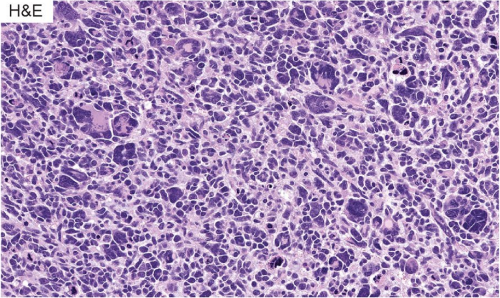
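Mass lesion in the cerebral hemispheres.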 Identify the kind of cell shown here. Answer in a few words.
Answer: giant cells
